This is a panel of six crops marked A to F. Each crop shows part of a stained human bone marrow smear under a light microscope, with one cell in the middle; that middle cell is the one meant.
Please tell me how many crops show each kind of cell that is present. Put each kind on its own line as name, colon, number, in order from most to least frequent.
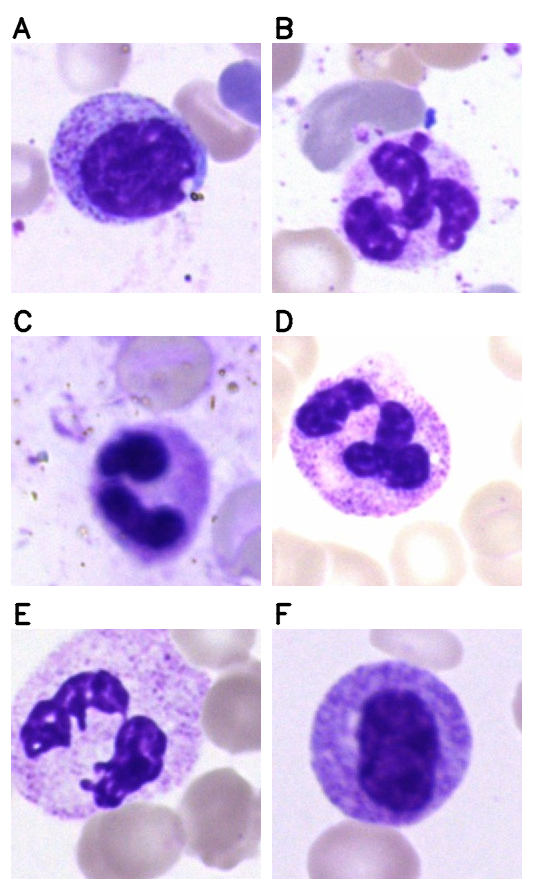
segmented neutrophil: 4
myelocyte: 2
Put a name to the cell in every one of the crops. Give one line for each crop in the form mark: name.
A: myelocyte
B: segmented neutrophil
C: segmented neutrophil
D: segmented neutrophil
E: segmented neutrophil
F: myelocyte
